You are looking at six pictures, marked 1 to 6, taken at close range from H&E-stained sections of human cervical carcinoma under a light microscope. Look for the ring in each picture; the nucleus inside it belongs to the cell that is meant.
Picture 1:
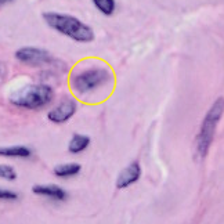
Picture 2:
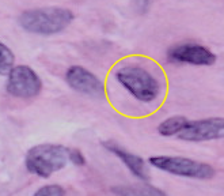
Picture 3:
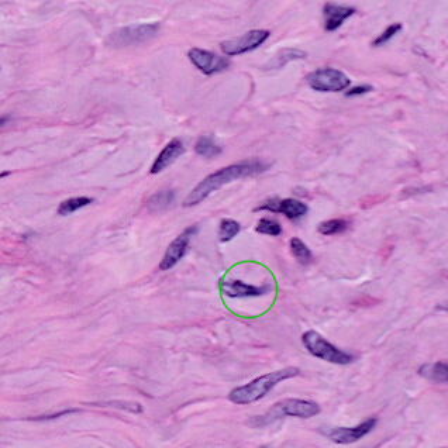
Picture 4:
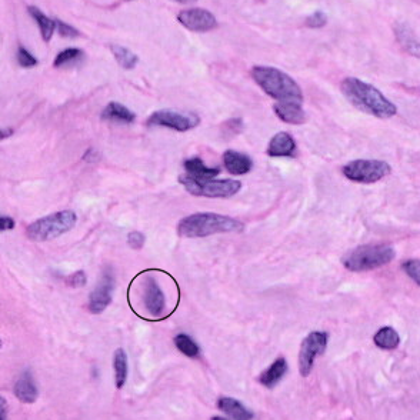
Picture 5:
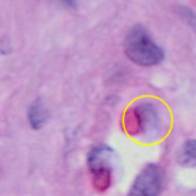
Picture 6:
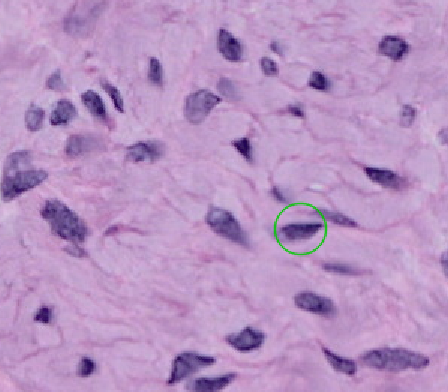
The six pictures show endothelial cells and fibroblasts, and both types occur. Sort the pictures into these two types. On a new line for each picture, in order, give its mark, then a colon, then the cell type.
1: endothelial cell
2: fibroblast
3: fibroblast
4: fibroblast
5: endothelial cell
6: fibroblast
